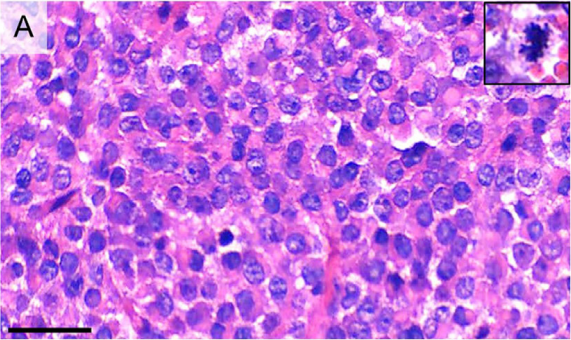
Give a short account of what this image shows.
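Here you see a tumor built of sheets of monomorphic tumor cells, closely packed and much alike in size and shape. Their nuclei are round to oval, with finely stippled blue chromatin, and many show a conspicuous nucleolus as a distinct dark dot. The cytoplasm around them is pink, eosinophilic, and cell borders are only faintly seen. Between the sheets run thin pink strands of stroma. In the boxed inset at the upper right, one cell is caught in division: its chromosomes form a dark, clumped mass without a nuclear membrane, a mitotic figure.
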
